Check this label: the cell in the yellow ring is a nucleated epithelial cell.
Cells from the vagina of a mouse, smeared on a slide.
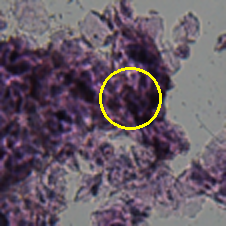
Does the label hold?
The label does not hold; the cell is a cornified epithelial cell.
